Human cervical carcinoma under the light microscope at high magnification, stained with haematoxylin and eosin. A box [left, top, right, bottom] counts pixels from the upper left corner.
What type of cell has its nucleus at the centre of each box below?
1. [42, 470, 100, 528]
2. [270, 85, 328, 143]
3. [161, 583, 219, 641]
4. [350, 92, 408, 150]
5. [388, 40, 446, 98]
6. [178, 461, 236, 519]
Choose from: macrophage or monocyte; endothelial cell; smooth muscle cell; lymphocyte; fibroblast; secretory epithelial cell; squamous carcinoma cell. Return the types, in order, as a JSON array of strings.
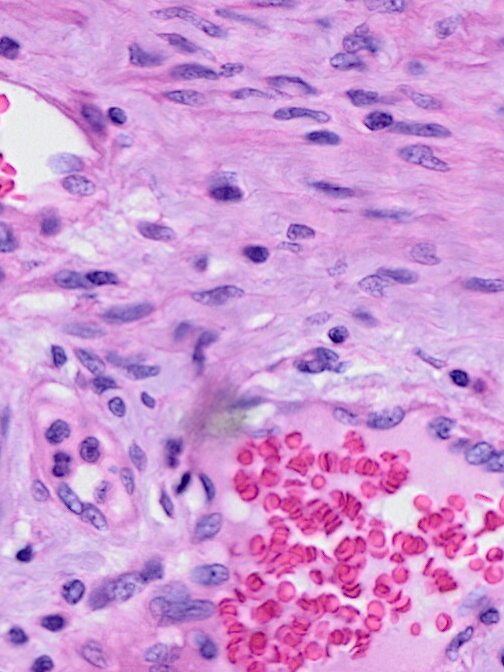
["endothelial cell", "fibroblast", "endothelial cell", "lymphocyte", "smooth muscle cell", "endothelial cell"]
